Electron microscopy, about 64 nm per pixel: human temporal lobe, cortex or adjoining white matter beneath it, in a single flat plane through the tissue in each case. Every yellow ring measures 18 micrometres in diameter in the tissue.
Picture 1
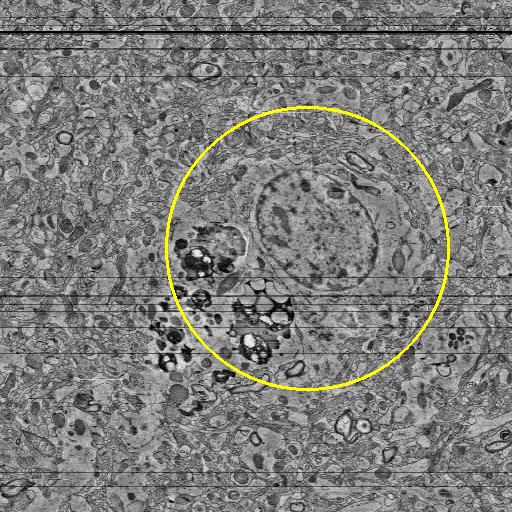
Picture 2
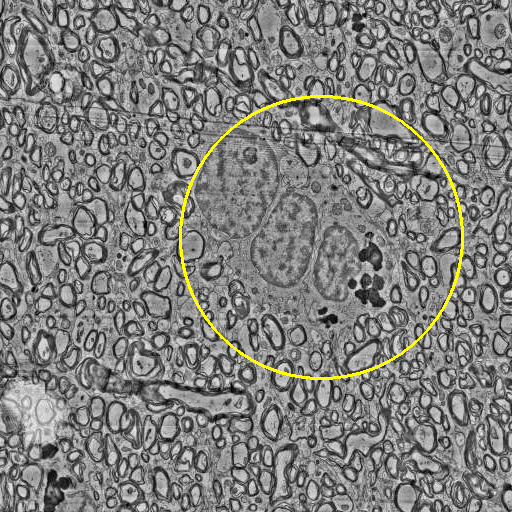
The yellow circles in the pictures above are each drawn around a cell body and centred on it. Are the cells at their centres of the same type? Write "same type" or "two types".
two types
